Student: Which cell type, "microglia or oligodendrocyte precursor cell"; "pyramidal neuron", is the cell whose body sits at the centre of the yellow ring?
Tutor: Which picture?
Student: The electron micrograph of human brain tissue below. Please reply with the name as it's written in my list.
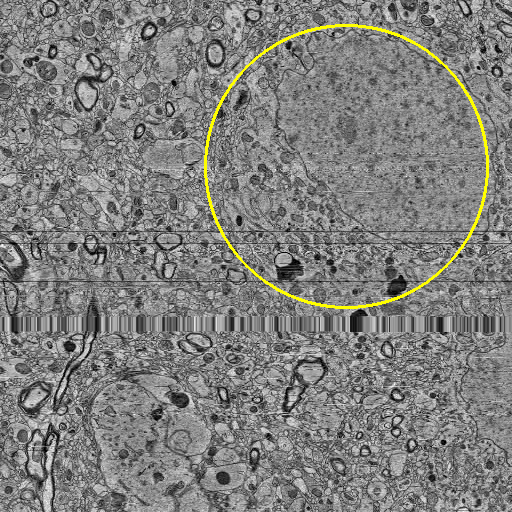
pyramidal neuron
